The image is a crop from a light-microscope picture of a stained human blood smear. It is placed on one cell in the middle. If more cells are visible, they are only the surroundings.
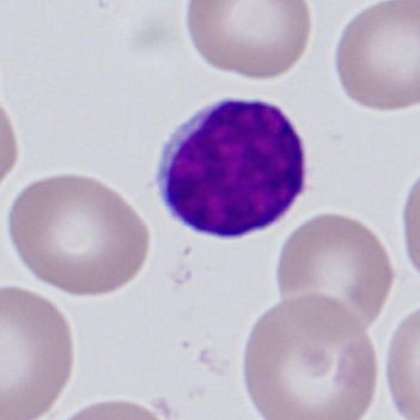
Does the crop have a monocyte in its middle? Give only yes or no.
no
